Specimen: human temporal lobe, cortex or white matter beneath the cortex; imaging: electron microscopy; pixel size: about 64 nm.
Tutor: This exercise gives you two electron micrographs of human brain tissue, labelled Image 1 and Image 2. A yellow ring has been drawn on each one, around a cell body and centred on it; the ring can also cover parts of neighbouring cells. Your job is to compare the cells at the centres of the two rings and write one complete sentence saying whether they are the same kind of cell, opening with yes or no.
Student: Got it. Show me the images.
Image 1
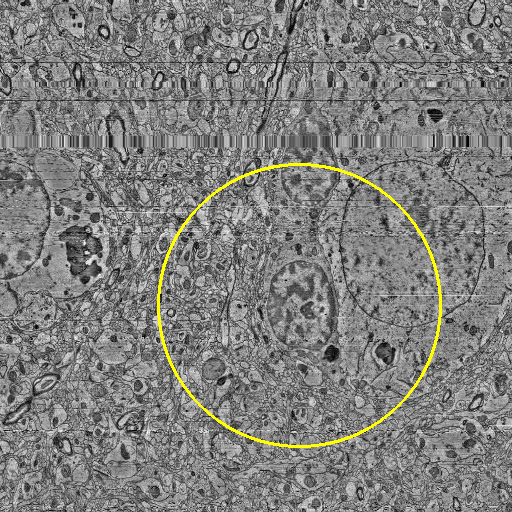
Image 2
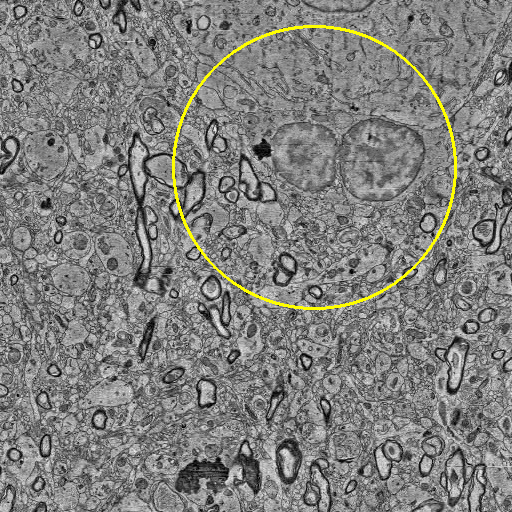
Yes, the two cells belong to the same kind.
